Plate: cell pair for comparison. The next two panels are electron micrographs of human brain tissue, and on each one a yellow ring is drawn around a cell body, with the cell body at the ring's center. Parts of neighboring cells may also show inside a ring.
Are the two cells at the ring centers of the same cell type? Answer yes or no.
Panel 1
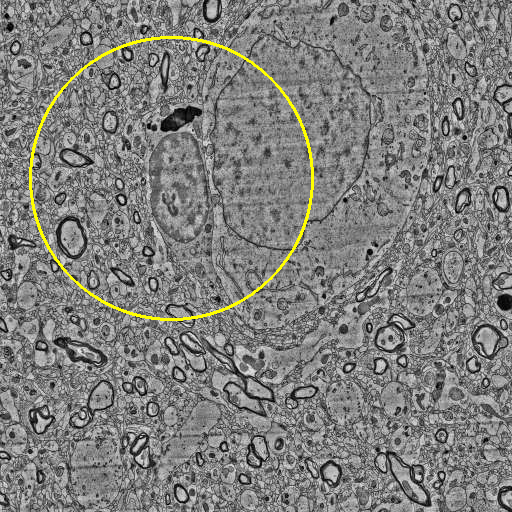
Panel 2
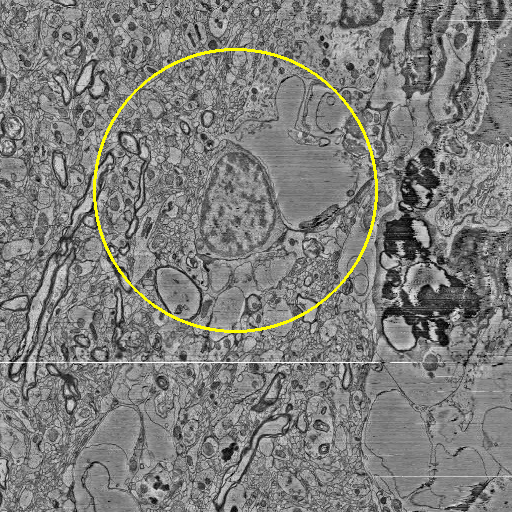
yes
